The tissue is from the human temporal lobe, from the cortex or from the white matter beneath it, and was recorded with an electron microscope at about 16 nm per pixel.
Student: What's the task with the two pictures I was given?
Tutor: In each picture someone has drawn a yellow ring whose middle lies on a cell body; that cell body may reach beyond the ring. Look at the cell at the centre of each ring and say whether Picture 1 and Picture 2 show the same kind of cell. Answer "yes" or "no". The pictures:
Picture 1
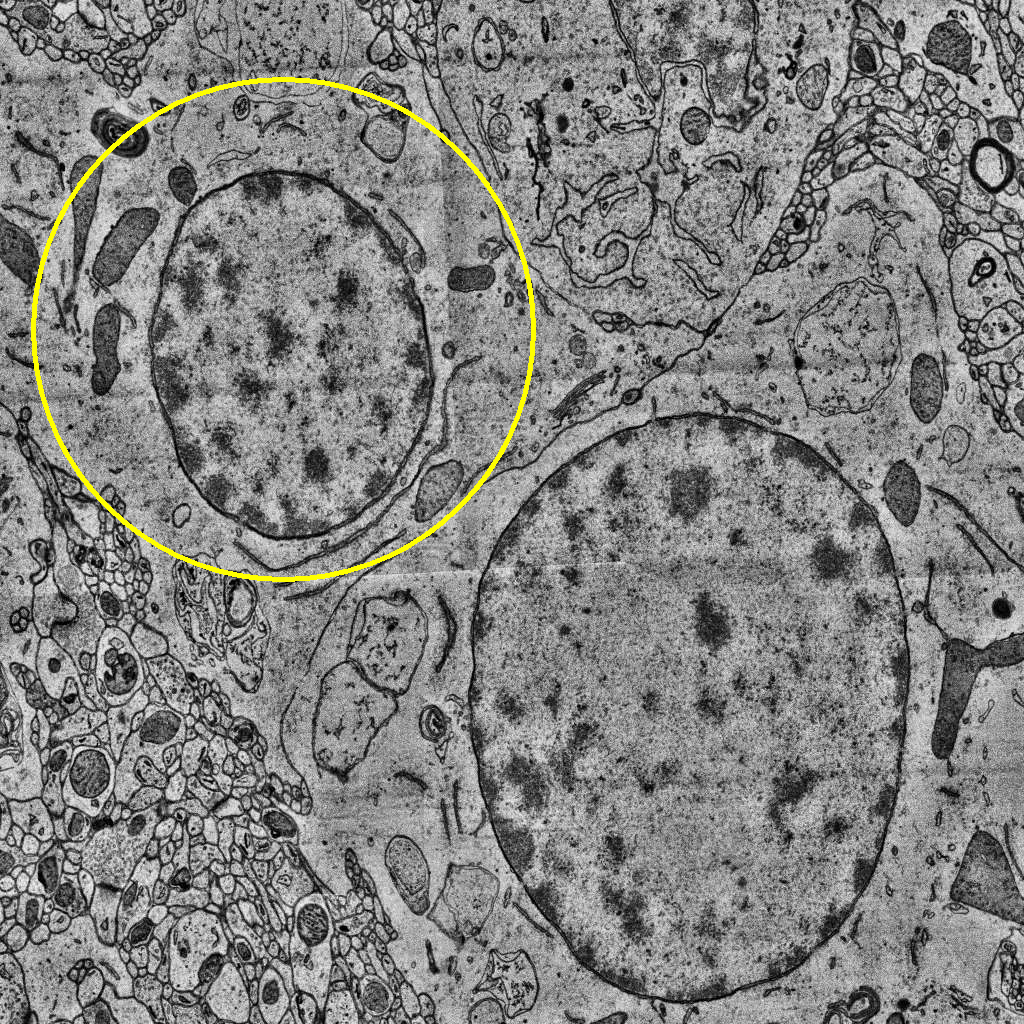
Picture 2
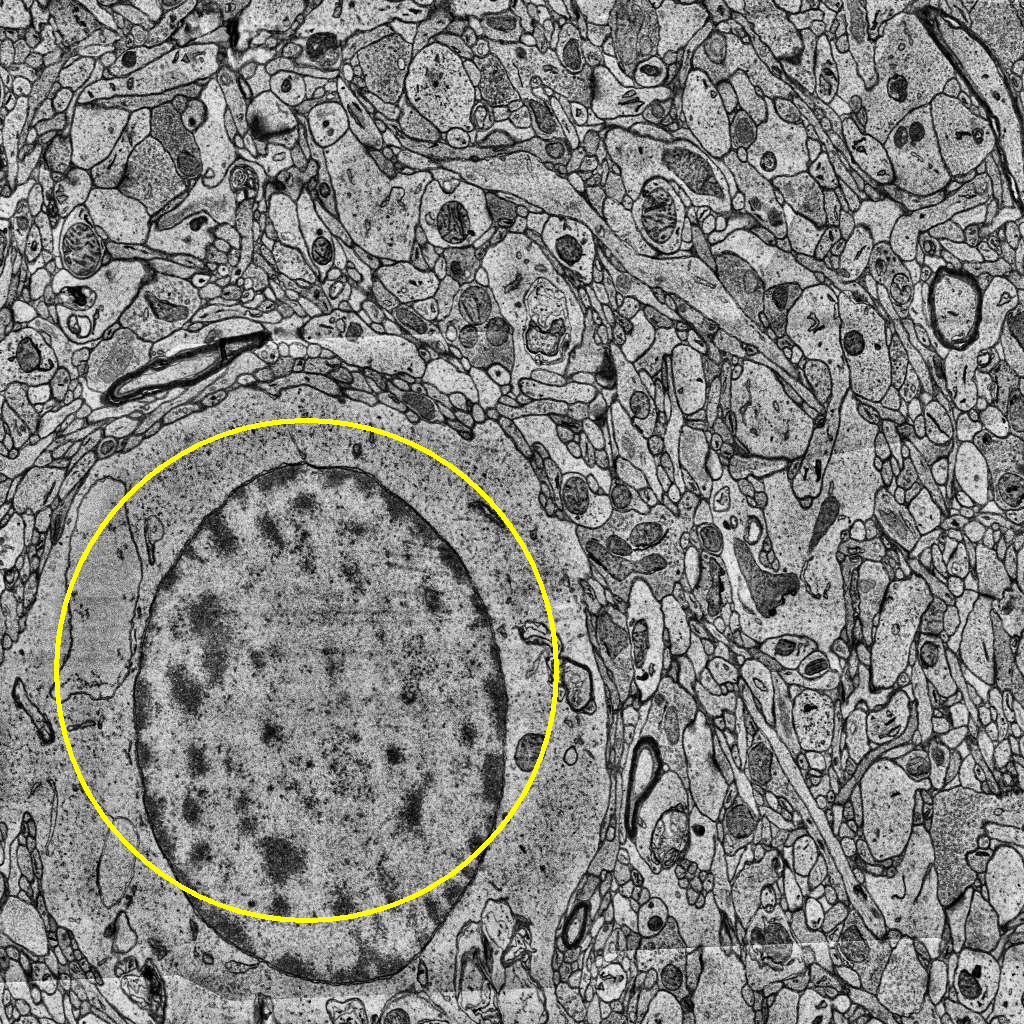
yes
